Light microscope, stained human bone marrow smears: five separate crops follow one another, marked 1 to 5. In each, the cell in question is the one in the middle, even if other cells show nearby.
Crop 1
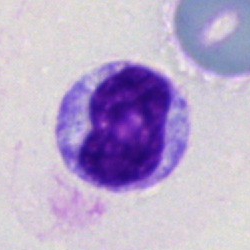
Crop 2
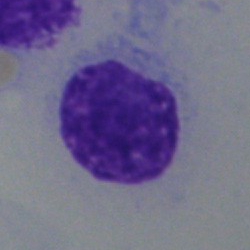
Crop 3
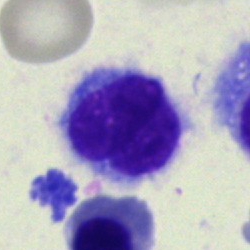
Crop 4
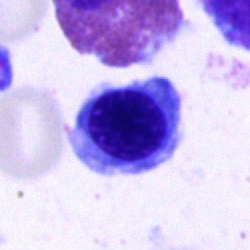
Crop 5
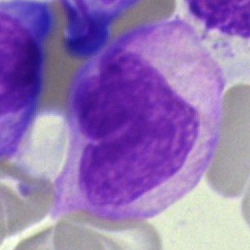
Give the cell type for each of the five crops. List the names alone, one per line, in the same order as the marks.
metamyelocyte
hairy cell
hairy cell
erythroblast
monocyte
